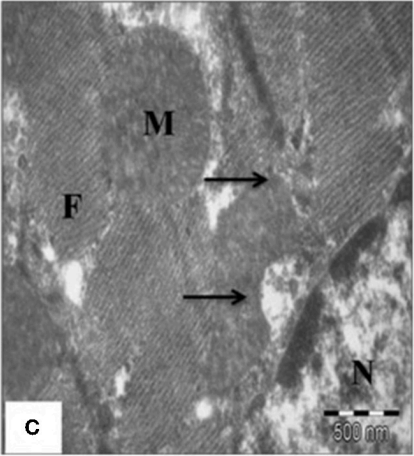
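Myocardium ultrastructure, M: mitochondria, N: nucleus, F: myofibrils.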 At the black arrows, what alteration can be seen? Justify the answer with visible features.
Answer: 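The arrows point to pale, washed-out areas where the striated bundles are disrupted. Loose, flocculent material lies in the cleared areas.
Answer: myofibrillar damage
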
